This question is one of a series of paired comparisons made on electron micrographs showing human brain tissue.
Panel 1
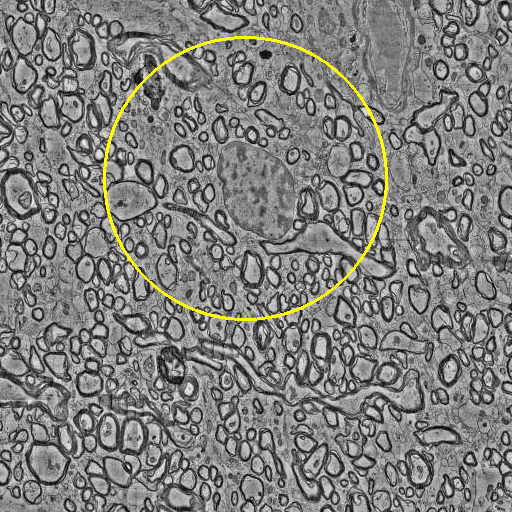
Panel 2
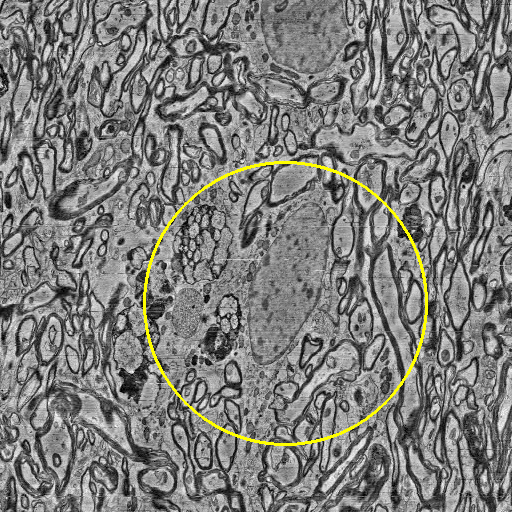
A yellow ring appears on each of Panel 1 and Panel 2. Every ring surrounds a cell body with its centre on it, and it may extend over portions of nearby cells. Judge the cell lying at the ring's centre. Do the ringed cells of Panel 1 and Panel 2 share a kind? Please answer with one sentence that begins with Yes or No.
No, the ring-centre cell in Panel 1 and the one in Panel 2 are of two kinds.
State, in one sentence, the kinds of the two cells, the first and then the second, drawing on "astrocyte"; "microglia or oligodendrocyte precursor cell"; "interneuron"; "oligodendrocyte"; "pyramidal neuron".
The ring in the second picture is centred on an astrocyte, the ring in the first on a microglial cell or oligodendrocyte precursor cell.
